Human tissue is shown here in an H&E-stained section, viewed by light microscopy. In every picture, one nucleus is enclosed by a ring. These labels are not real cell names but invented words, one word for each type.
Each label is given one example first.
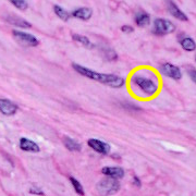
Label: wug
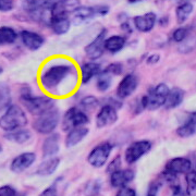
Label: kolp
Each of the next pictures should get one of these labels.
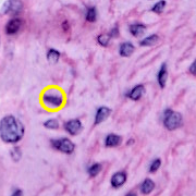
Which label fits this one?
wug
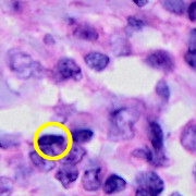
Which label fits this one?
kolp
